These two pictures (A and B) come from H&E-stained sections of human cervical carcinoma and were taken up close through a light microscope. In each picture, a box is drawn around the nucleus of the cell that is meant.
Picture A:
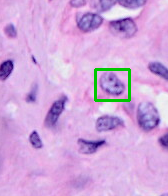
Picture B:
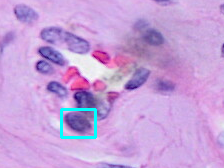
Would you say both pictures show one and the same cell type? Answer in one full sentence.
Yes, both are endothelial cells.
